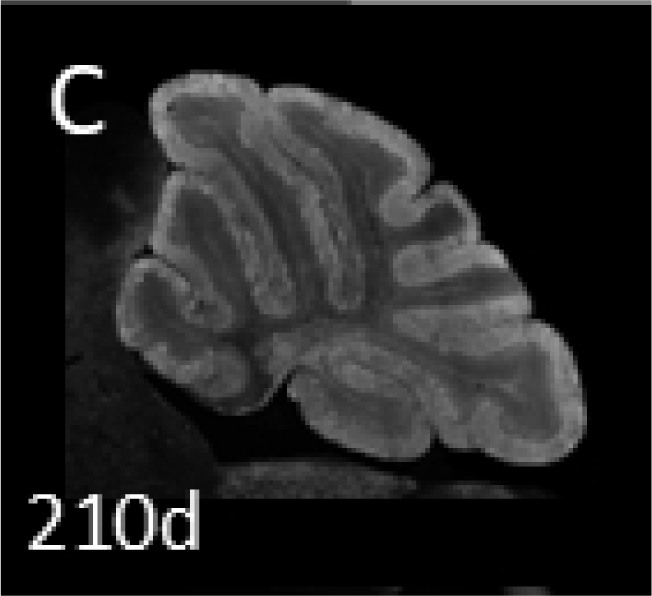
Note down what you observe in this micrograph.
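Sagittal section of cerebellum with its full set of folia radiating from a central core. Along every folium a bright stained band runs as an unbroken layer, with darker tissue lying inside it toward the core of each folium. The folial pattern is complete and regular.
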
